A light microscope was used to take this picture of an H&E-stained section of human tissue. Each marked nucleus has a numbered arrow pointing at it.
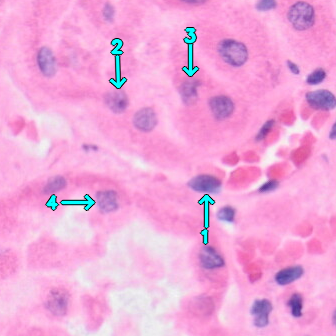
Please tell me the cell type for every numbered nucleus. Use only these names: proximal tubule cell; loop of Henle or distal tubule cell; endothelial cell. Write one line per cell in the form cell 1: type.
cell 1: endothelial cell
cell 2: proximal tubule cell
cell 3: proximal tubule cell
cell 4: proximal tubule cell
